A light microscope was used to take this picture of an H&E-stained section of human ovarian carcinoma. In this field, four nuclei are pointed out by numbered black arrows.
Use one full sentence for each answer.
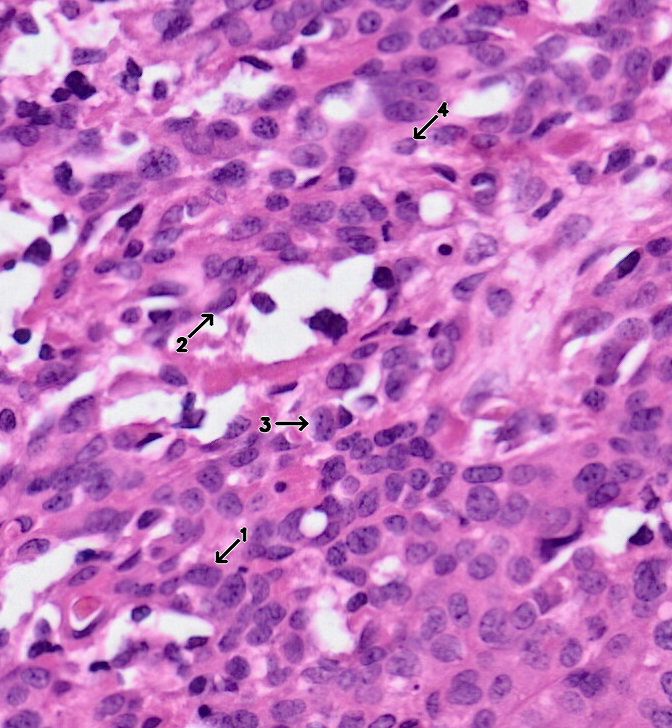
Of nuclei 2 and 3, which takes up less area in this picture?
The smaller nucleus is 2, and 3 covers roughly 2 times its area.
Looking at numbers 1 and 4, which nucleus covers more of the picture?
Number 1 is larger; its area is about 2 times that of number 4.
